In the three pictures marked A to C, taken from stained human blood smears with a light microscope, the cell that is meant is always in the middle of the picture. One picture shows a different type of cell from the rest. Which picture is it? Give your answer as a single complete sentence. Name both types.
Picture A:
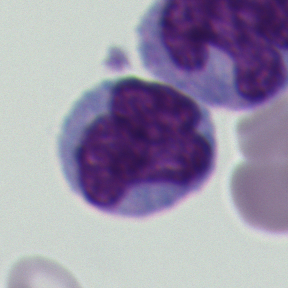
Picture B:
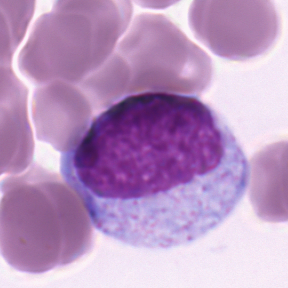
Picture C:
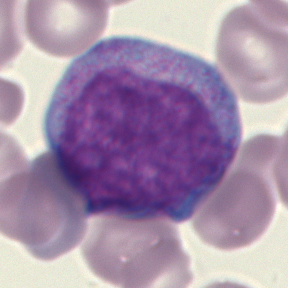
Picture A is the odd one out: it shows a monocyte, while the others show promyelocytes.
